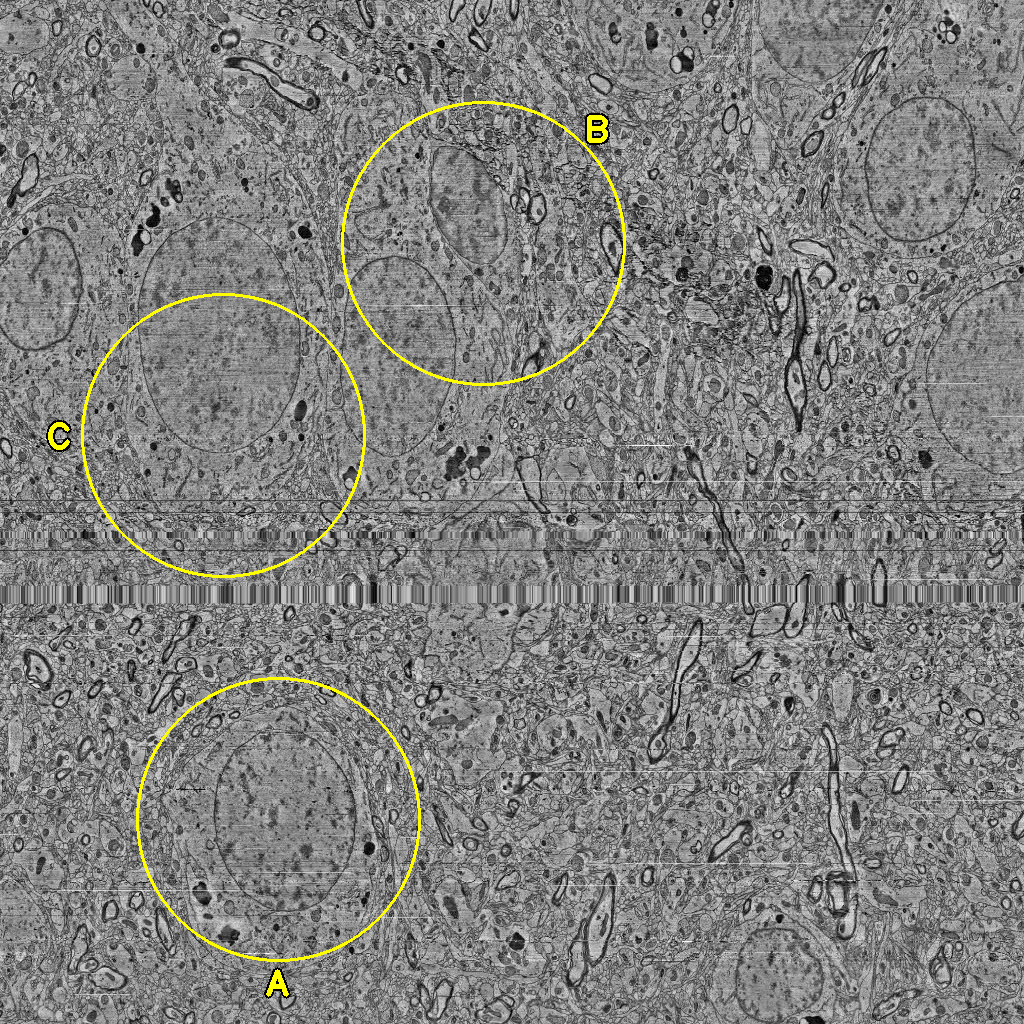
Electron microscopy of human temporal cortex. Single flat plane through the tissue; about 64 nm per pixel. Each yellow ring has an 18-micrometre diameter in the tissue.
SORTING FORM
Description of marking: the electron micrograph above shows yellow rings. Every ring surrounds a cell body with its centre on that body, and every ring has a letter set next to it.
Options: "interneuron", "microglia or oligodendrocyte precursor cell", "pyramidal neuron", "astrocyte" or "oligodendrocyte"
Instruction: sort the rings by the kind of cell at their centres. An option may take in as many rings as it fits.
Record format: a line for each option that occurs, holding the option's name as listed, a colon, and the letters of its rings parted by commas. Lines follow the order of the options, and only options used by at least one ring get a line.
pyramidal neuron: A, C
oligodendrocyte: B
